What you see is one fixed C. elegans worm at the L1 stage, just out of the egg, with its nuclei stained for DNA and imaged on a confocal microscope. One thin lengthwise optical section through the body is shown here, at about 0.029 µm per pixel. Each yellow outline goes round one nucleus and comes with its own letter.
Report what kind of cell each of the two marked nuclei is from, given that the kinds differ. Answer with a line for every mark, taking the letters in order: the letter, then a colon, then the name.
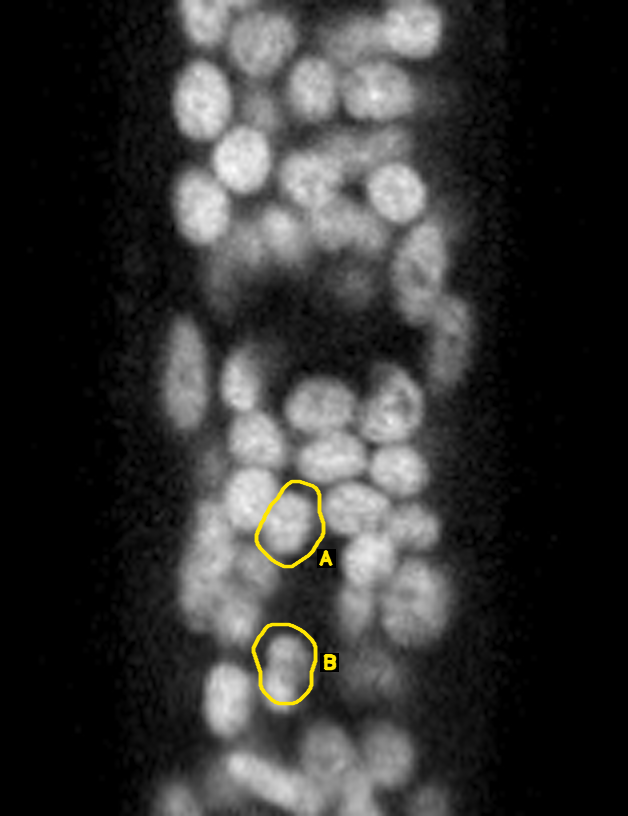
A: neuron
B: pharyngeal muscle cell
